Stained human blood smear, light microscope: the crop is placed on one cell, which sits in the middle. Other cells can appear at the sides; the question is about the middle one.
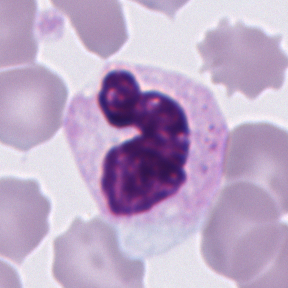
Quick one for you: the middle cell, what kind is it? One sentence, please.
This crop has a segmented neutrophil at its centre.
